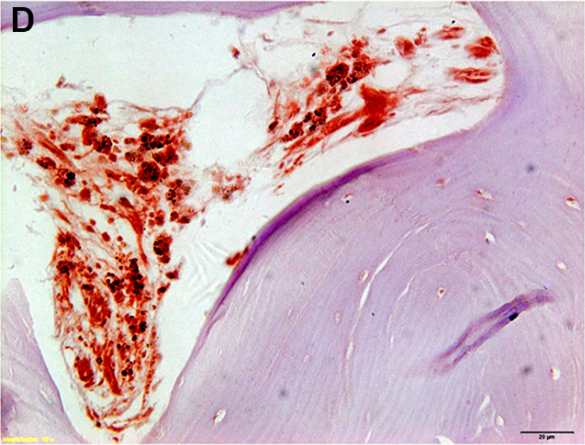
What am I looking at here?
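Here a marrow cavity is framed by pale purple, ossified bone showing fine lamellar lines and small lacunae. Within the cavity, red-stained cells form irregular clusters and elongated strands, concentrated at the two ends of the space while the middle is largely empty. Many of the red cells carry dark, coarse granules. Some red cells lie against the bone edge, lining its surface.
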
